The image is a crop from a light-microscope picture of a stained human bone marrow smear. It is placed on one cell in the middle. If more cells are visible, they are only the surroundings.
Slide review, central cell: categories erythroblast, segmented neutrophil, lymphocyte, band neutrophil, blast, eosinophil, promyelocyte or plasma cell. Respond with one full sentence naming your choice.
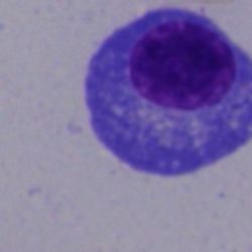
Occupying the centre of the crop is a plasma cell.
